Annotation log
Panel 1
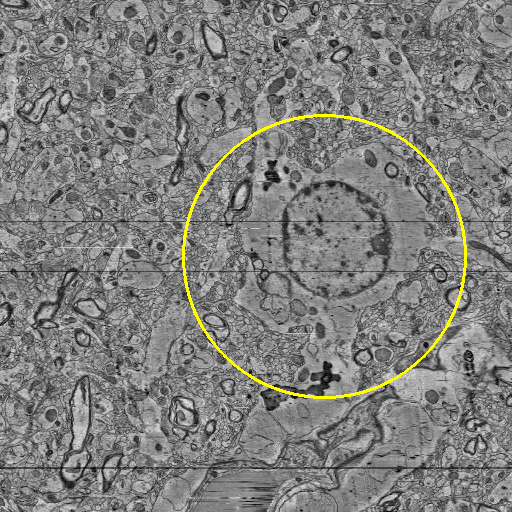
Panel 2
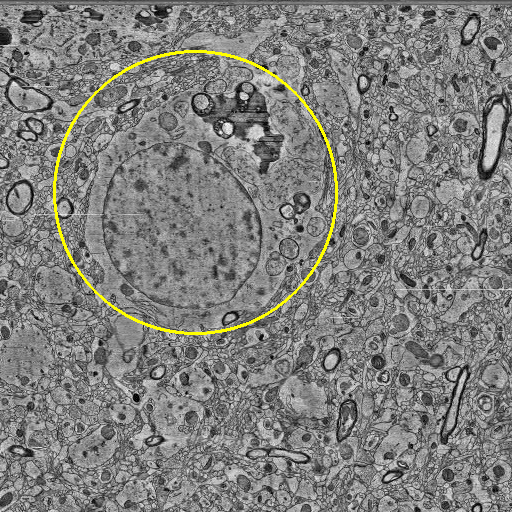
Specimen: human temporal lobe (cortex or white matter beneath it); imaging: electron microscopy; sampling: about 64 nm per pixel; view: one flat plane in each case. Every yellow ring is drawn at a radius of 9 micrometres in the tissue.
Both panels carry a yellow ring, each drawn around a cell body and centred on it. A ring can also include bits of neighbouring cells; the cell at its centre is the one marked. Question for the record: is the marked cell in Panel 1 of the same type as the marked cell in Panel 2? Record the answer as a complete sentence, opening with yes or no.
Yes, the marked cells in Panel 1 and Panel 2 are of the same type.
